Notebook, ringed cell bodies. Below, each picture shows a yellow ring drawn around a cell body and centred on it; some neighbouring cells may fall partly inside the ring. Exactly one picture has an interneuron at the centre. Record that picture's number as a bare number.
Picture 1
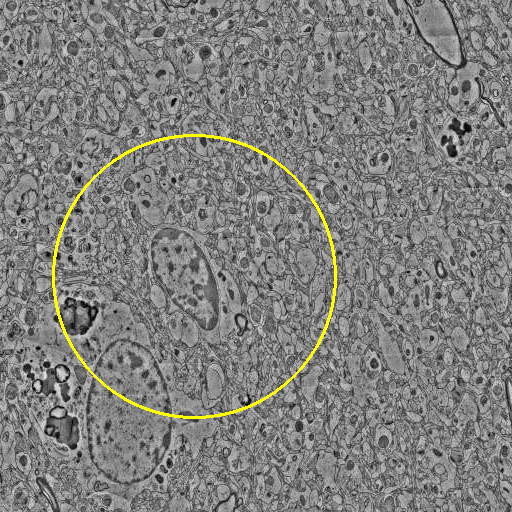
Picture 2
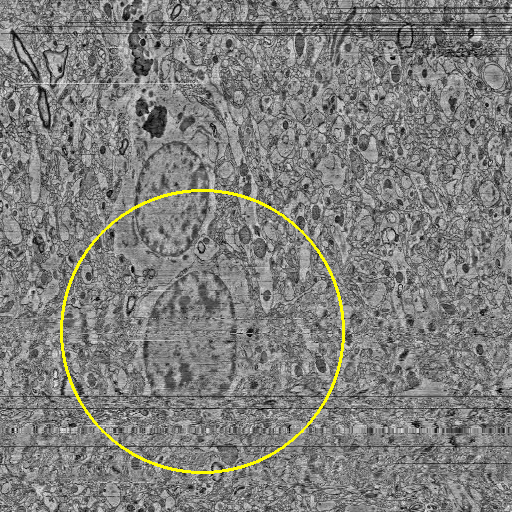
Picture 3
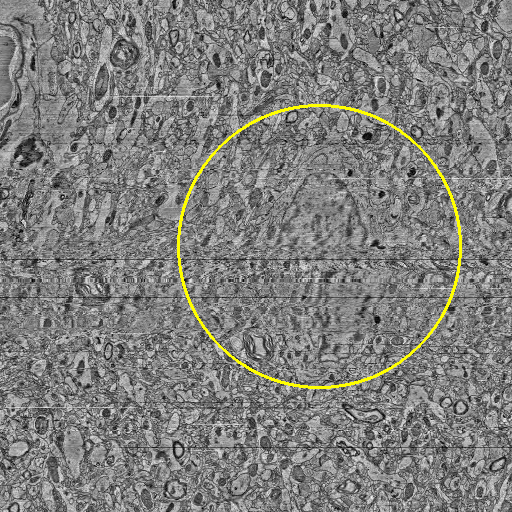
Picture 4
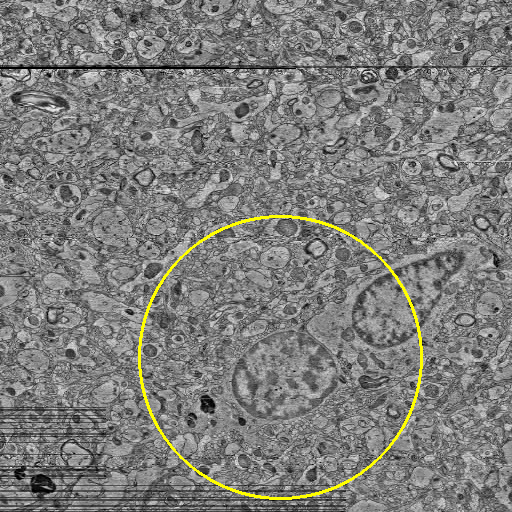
3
